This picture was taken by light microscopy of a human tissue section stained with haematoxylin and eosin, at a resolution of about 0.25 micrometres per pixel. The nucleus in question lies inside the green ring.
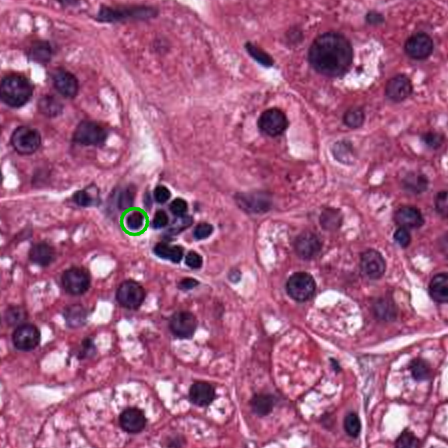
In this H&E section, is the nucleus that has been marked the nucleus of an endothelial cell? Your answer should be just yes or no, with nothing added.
no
